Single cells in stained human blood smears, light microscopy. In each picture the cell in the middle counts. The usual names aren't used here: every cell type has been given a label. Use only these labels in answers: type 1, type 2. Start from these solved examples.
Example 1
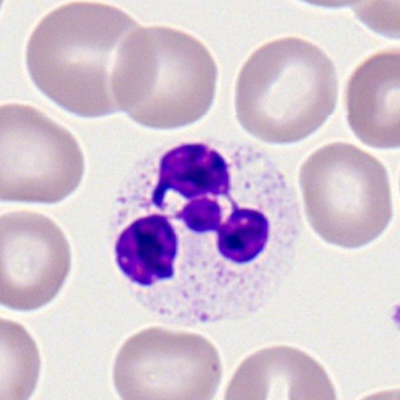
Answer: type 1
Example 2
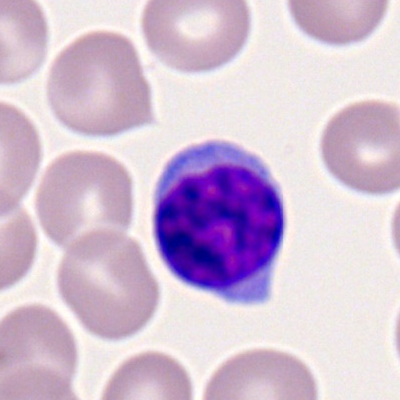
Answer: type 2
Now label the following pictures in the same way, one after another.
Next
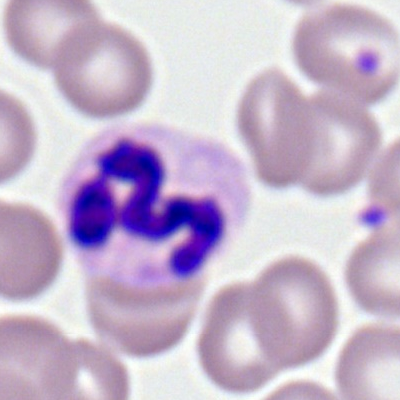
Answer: type 1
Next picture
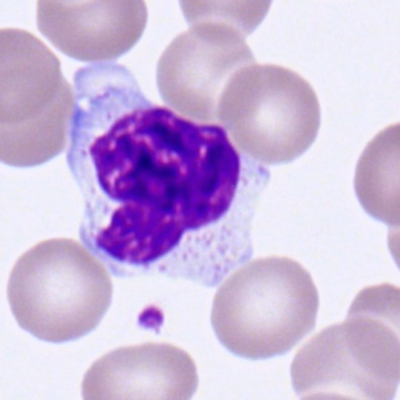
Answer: type 2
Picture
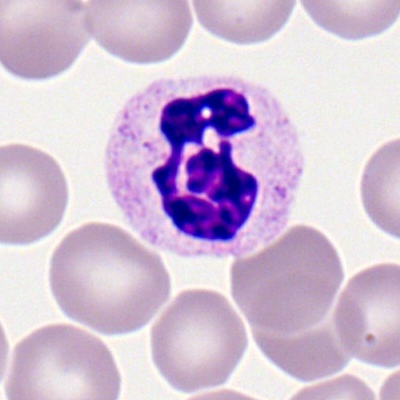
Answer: type 1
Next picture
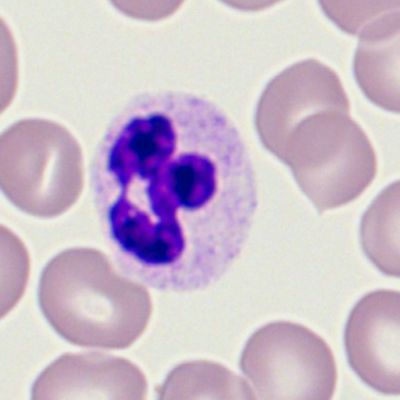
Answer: type 1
